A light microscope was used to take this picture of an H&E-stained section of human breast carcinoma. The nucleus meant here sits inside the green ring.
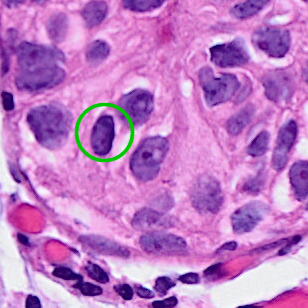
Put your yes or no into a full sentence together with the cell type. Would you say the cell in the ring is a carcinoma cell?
Yes, the cell in the ring is accurately described as a carcinoma cell.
